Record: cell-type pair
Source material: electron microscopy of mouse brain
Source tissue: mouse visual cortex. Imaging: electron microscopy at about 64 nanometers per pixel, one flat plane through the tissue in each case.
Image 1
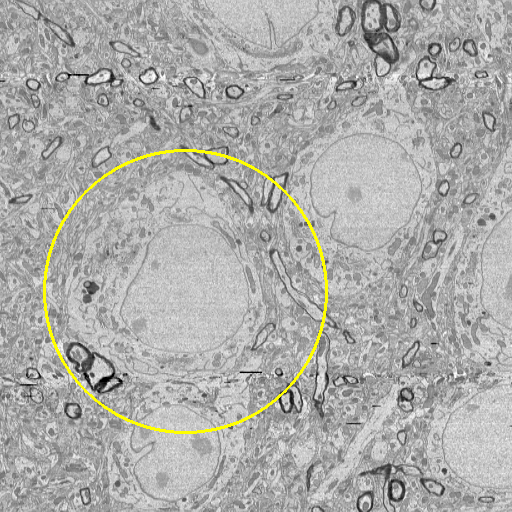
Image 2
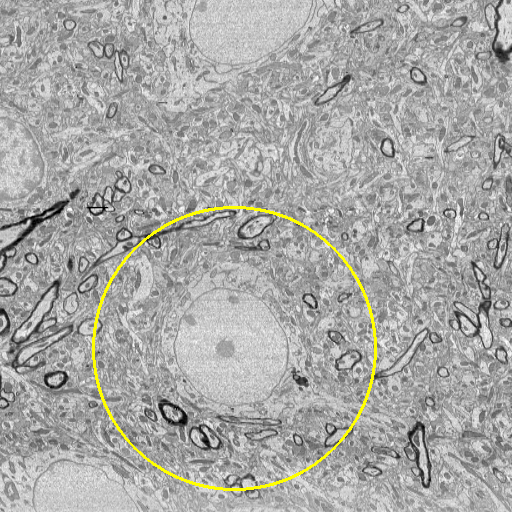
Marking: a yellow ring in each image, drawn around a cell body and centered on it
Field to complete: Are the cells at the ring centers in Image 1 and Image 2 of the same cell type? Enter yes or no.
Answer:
yes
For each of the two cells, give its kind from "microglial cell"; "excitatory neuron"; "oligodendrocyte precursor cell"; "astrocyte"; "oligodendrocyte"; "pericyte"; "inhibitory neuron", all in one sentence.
Each cell, in the first picture and the second, is an excitatory neuron.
